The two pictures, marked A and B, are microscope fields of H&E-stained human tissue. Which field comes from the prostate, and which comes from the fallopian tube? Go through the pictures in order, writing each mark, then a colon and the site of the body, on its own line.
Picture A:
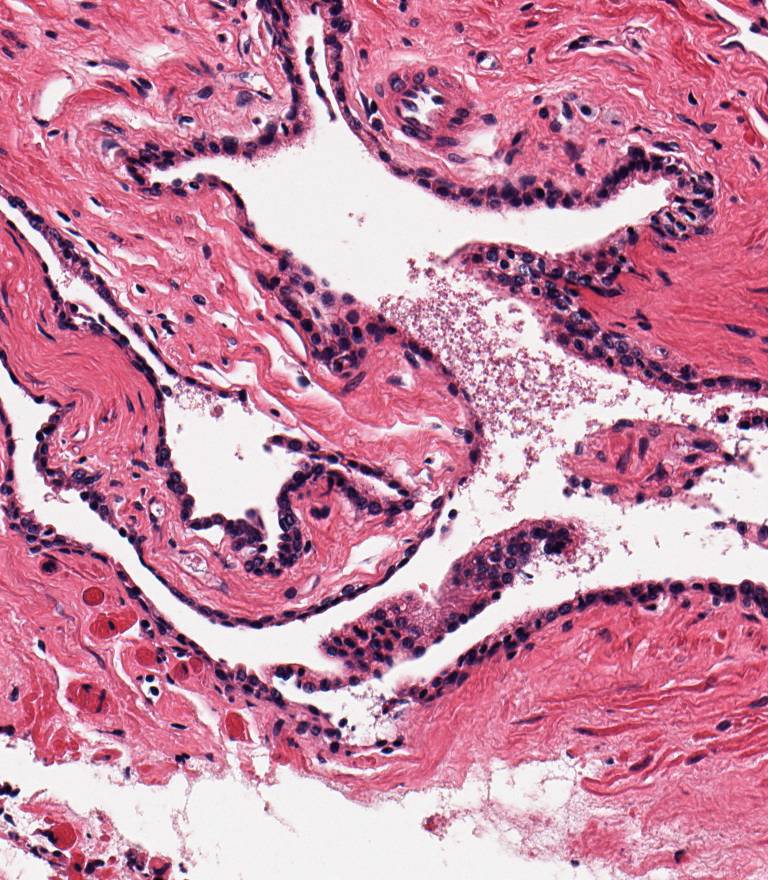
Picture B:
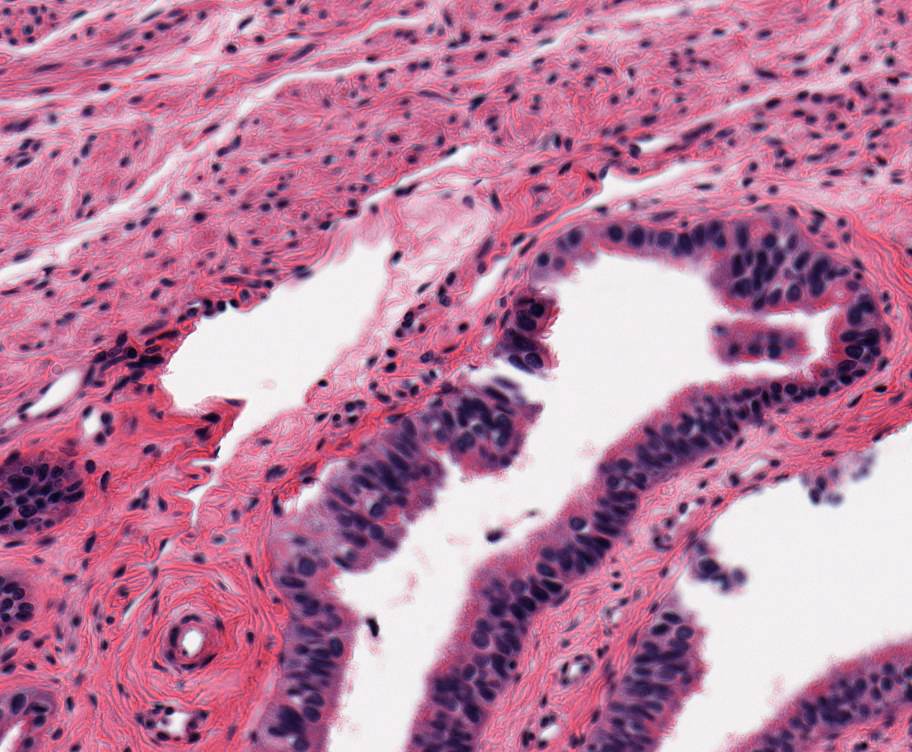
A: prostate
B: fallopian tube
